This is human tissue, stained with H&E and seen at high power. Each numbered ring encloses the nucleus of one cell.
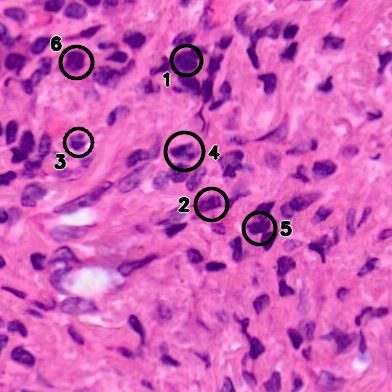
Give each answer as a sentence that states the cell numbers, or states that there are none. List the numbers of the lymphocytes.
The cells the numbers 3 and 4 point to are lymphocytes.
